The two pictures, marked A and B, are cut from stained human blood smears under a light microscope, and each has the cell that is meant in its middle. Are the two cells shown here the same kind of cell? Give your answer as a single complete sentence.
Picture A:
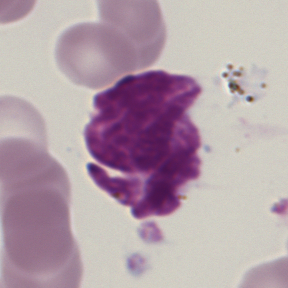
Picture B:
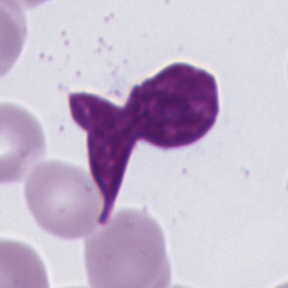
Yes; the cells in both pictures are smudge cells.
